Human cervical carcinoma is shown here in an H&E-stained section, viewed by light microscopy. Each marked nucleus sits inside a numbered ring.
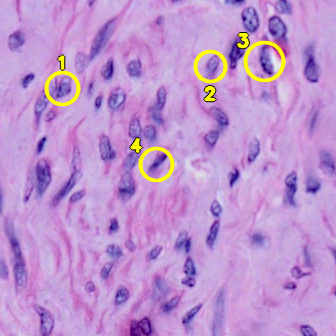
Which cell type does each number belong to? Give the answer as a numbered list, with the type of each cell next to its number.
1. smooth muscle cell
2. smooth muscle cell
3. endothelial cell
4. smooth muscle cell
